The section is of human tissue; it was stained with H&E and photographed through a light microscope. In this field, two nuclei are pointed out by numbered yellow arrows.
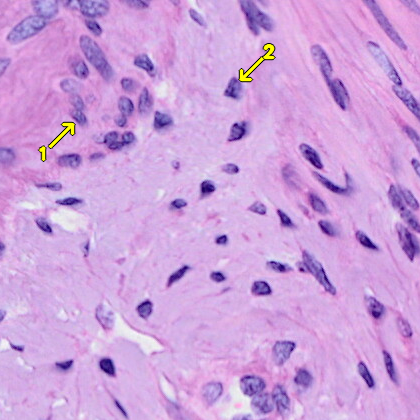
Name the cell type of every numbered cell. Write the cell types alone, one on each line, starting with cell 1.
smooth muscle cell
fibroblast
